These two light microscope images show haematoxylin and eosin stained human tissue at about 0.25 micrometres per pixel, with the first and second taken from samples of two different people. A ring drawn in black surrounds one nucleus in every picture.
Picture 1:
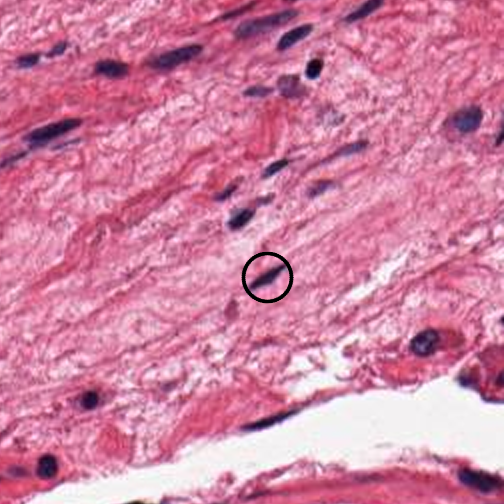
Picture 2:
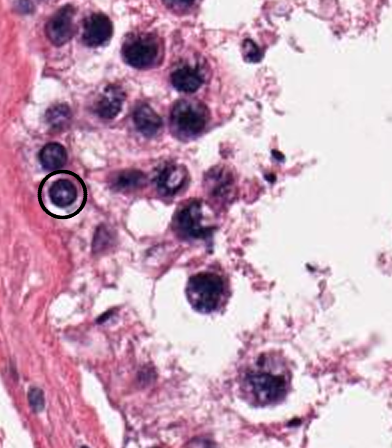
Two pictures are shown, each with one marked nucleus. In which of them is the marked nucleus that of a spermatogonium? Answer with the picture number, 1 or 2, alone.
2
